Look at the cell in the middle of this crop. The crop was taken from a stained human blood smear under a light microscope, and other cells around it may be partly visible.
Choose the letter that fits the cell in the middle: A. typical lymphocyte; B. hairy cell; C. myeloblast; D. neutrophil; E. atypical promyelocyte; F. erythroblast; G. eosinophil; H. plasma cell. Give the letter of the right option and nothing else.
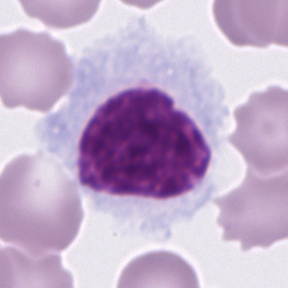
B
